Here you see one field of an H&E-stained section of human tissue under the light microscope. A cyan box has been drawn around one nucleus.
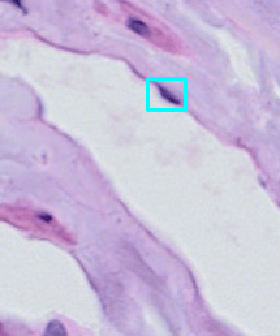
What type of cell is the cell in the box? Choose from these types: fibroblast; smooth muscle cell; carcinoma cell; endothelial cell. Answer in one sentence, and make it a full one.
Histopathologically, the cell in the box is an endothelial cell.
